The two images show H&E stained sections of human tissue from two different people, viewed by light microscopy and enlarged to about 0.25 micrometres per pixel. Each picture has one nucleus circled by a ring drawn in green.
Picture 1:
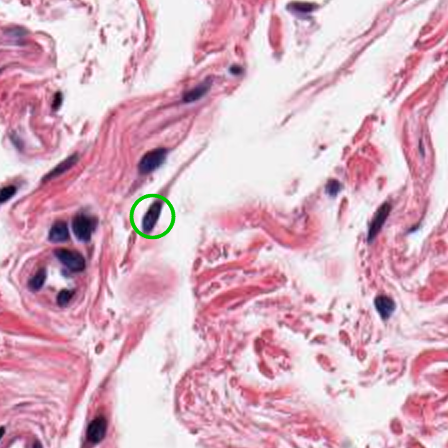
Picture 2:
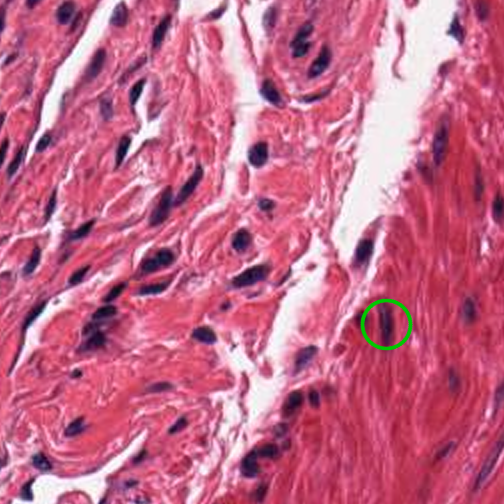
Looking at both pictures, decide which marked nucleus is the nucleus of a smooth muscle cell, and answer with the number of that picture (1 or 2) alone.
2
